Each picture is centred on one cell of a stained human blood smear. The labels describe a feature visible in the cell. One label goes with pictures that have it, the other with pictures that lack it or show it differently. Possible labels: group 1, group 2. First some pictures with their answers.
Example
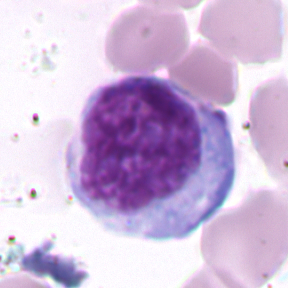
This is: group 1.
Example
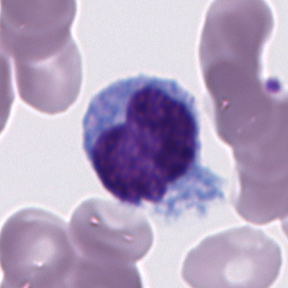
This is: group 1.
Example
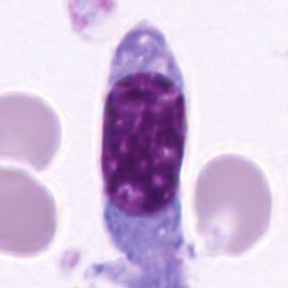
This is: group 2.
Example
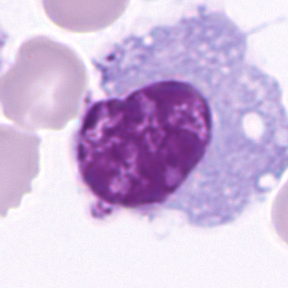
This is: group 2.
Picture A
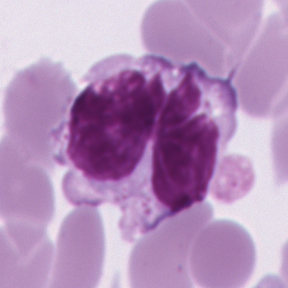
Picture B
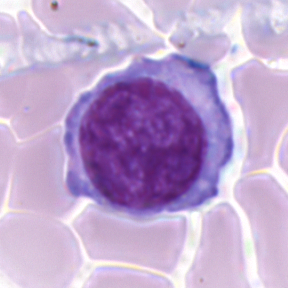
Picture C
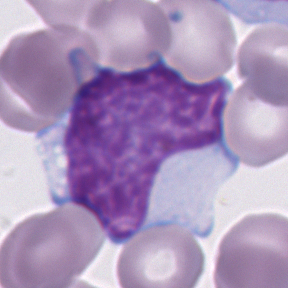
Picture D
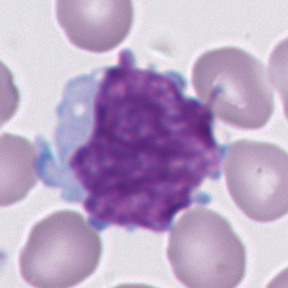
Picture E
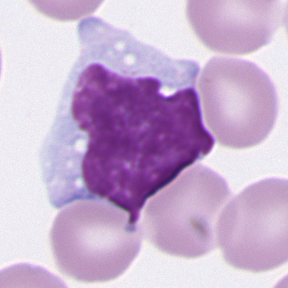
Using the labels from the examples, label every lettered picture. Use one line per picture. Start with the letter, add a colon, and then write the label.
A: group 2.
B: group 1.
C: group 2.
D: group 2.
E: group 2.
